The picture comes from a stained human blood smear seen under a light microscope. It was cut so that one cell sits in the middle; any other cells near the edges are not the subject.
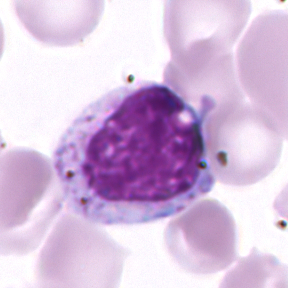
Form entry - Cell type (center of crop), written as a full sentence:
The middle of this crop holds a metamyelocyte.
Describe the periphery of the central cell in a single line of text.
Around its circumference, the cell has an uneven edge, ragged or projecting in places.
